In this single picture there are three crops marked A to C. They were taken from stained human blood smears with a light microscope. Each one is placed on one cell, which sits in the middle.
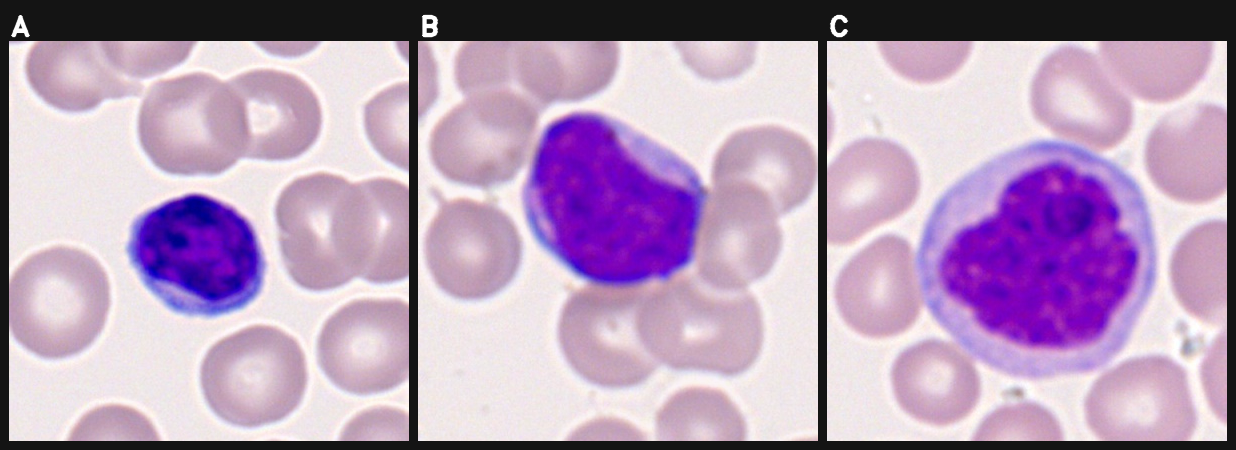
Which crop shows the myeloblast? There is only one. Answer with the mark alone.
B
